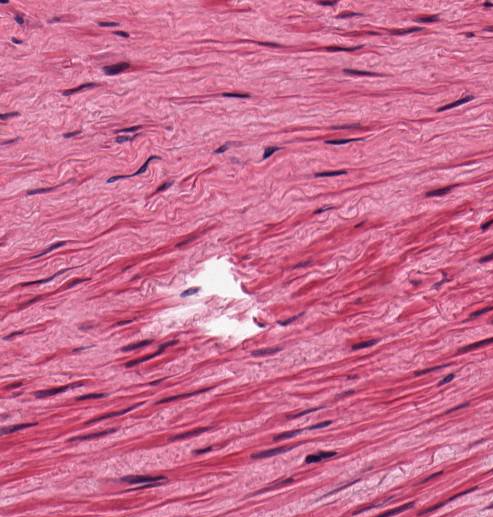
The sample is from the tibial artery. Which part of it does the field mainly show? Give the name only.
tunica media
